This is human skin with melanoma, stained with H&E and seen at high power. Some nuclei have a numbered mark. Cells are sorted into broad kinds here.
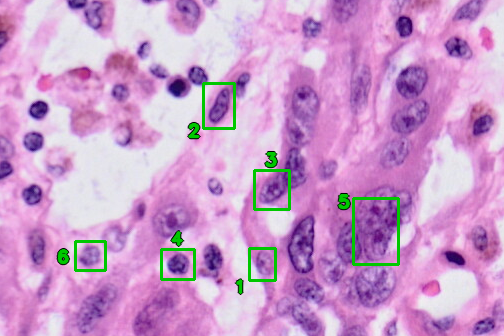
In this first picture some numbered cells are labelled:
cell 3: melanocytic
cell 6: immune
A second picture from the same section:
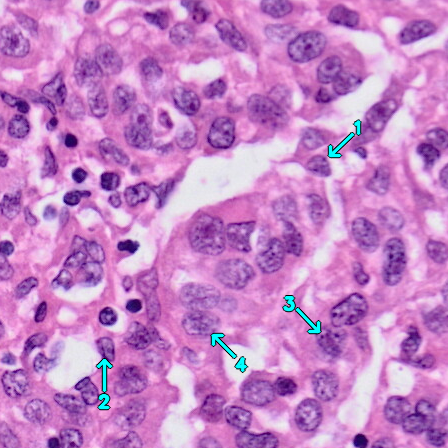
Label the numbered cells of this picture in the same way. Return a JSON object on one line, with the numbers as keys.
{"1": "melanocytic", "2": "immune", "3": "melanocytic", "4": "melanocytic"}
